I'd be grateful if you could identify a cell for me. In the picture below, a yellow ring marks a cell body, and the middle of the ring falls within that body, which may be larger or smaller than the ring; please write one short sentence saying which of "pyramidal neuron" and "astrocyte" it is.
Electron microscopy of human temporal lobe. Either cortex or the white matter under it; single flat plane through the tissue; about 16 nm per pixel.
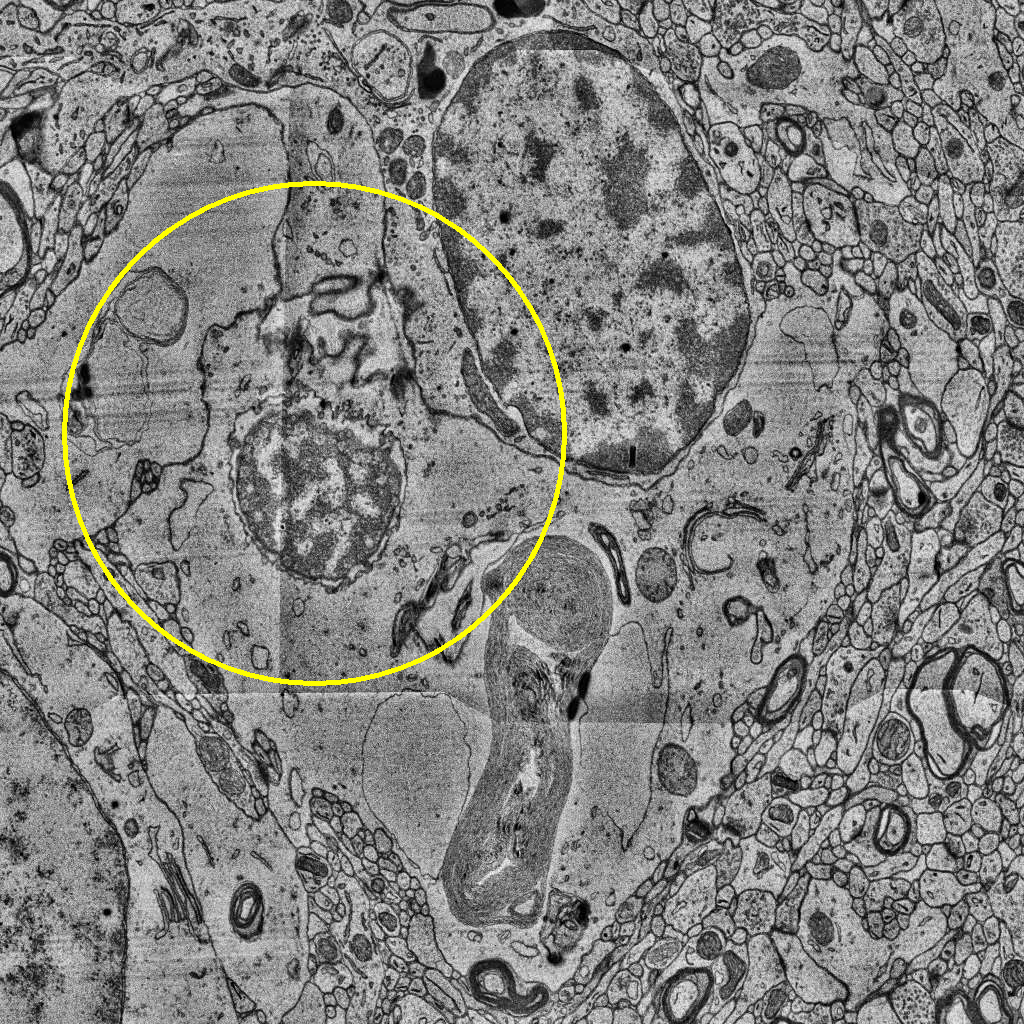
The cell under the ring's centre is an astrocyte.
